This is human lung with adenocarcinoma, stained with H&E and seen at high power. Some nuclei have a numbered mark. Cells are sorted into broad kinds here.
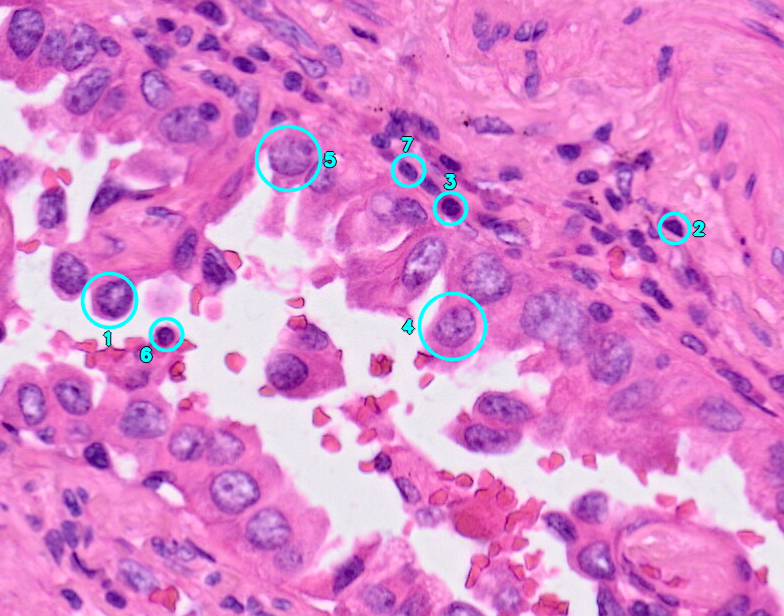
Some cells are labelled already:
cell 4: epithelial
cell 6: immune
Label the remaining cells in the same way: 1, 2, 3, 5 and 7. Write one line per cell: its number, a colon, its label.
1: epithelial
2: immune
3: immune
5: epithelial
7: immune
